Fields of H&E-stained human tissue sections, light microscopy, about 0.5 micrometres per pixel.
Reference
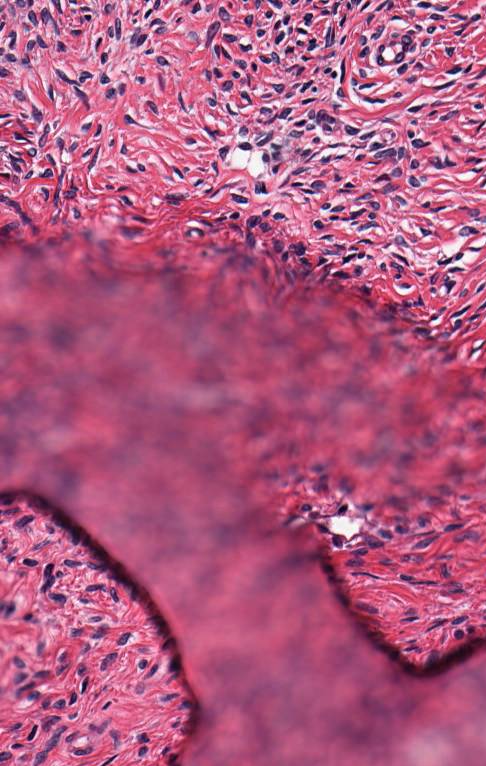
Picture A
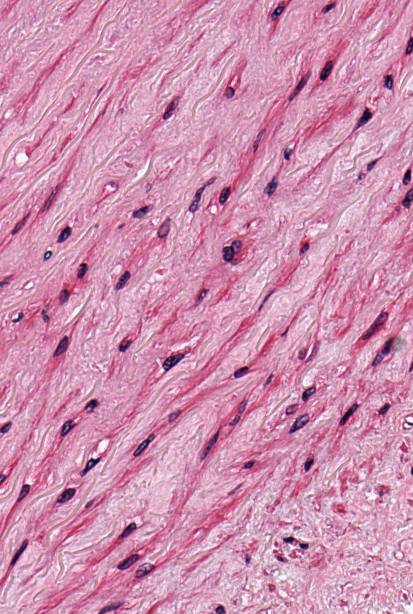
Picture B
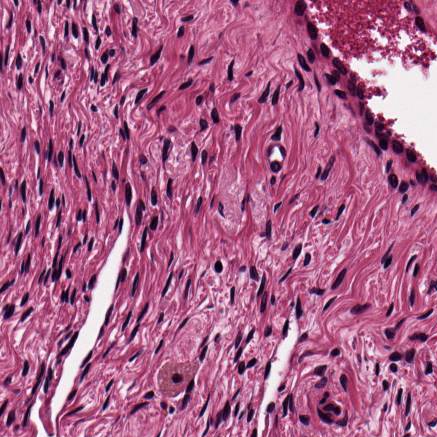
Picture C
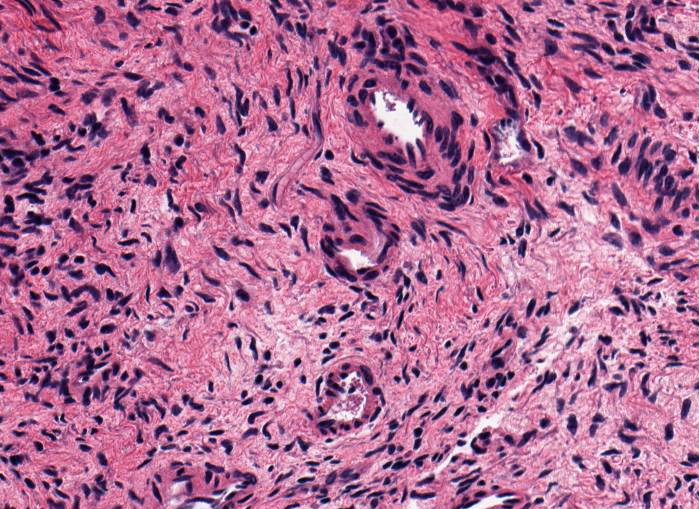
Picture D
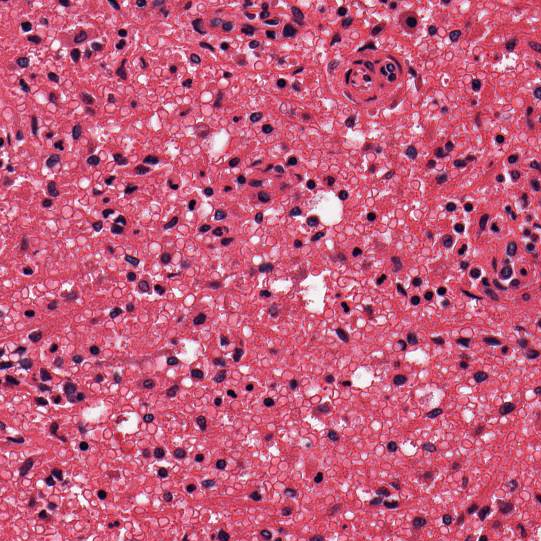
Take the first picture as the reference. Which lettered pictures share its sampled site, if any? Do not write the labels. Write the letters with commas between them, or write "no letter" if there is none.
B, C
